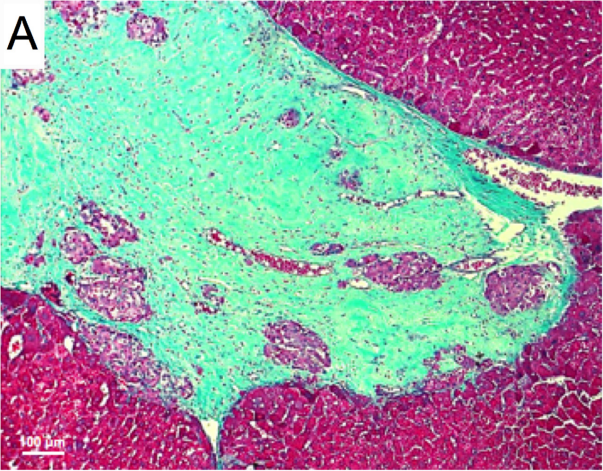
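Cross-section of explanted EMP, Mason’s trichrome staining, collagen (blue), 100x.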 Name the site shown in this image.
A: scaffold-liver interface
